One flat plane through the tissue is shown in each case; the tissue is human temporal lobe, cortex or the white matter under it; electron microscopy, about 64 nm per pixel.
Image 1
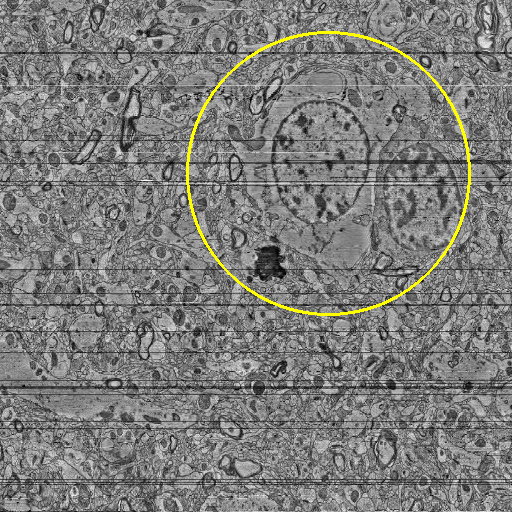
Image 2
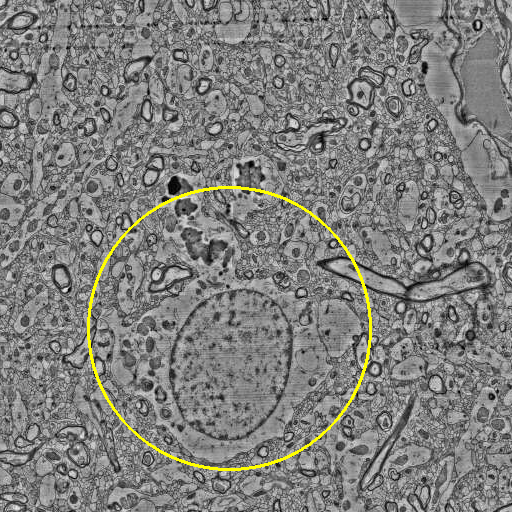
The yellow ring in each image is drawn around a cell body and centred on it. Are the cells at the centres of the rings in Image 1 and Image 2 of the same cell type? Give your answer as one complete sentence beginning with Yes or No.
Yes, both cells are of the same type.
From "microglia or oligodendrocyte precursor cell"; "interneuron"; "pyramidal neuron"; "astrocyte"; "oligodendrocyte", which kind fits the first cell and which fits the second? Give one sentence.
Both pictures show an astrocyte at the centre of the ring.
